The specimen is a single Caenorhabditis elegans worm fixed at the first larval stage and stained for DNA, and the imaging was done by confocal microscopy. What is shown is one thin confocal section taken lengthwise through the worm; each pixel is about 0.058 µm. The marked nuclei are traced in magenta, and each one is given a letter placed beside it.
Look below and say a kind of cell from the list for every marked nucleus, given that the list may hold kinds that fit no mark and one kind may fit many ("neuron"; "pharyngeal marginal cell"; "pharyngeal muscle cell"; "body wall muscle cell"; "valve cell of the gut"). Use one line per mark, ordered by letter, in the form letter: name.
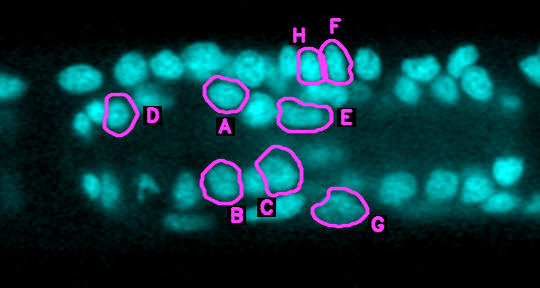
A: neuron
B: pharyngeal muscle cell
C: pharyngeal muscle cell
D: pharyngeal muscle cell
E: pharyngeal marginal cell
F: neuron
G: body wall muscle cell
H: neuron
